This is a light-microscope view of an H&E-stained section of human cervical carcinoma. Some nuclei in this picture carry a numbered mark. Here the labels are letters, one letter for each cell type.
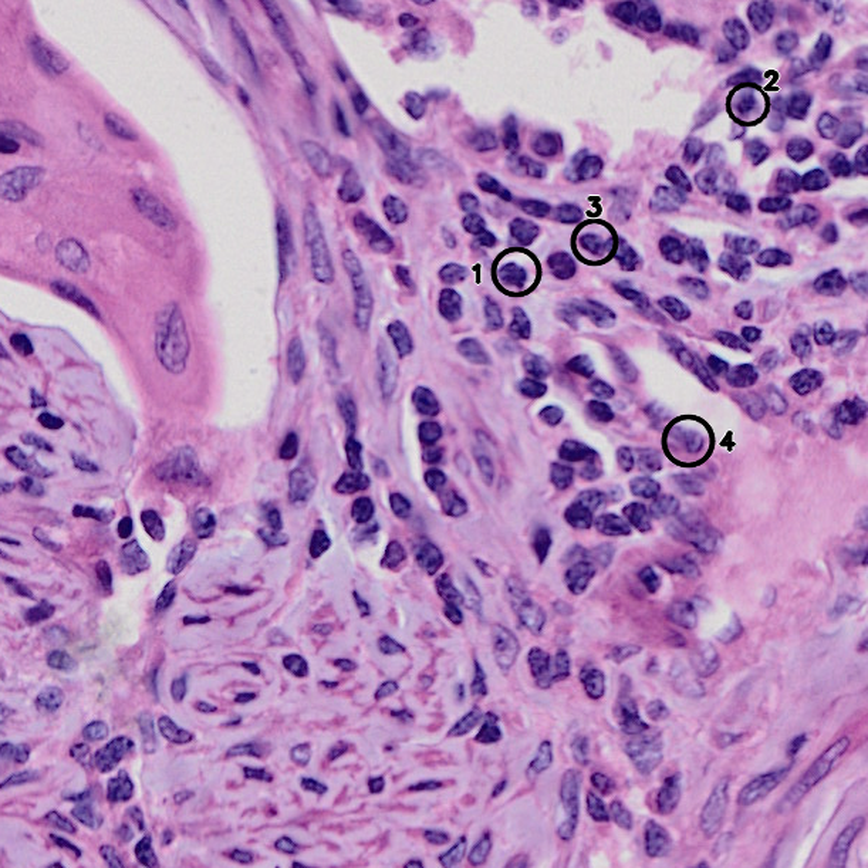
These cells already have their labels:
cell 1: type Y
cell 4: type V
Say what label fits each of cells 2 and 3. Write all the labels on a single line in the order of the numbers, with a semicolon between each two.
type Y; type Y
